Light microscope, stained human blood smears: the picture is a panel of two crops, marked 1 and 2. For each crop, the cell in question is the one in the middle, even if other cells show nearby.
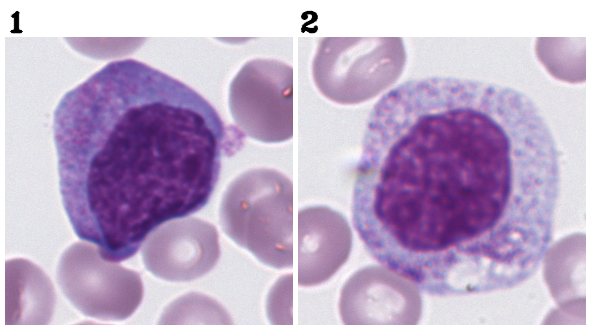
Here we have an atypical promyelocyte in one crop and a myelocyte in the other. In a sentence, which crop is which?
Crop 1 is labelled an atypical promyelocyte, and crop 2 is labelled a myelocyte.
